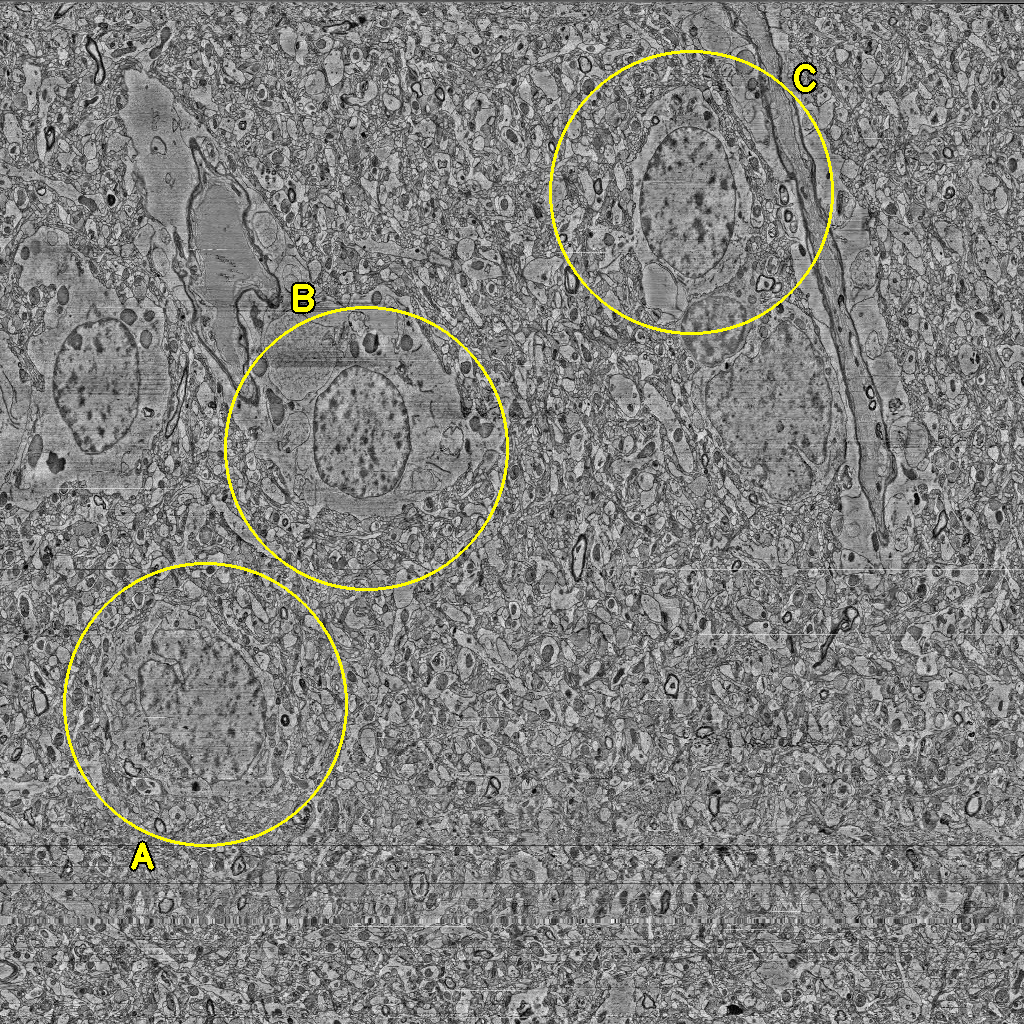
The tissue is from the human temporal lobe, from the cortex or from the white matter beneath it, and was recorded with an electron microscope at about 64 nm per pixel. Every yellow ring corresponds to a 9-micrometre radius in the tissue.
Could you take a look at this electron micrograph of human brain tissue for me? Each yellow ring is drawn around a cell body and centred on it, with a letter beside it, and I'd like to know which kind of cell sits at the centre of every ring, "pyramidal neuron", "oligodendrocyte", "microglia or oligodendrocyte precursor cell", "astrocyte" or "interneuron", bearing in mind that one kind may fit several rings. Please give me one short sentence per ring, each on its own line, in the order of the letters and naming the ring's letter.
Ring A is centred on an interneuron.
Ring B is centred on an astrocyte.
Ring C is centred on an astrocyte.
